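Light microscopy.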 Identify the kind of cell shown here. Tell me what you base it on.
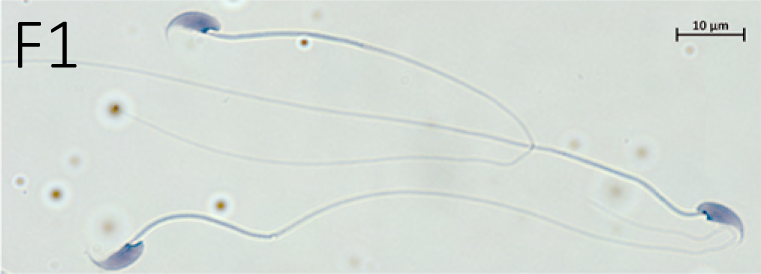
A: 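Hook-shaped heads stained blue. Each head bears a very long thin tail. The answer: sperm.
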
